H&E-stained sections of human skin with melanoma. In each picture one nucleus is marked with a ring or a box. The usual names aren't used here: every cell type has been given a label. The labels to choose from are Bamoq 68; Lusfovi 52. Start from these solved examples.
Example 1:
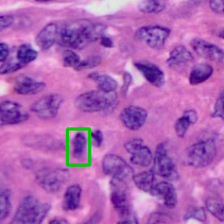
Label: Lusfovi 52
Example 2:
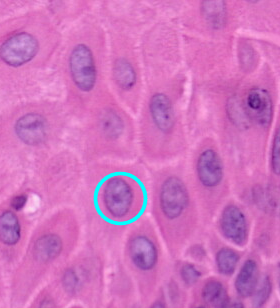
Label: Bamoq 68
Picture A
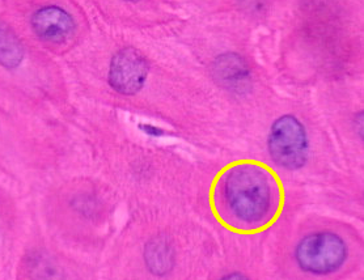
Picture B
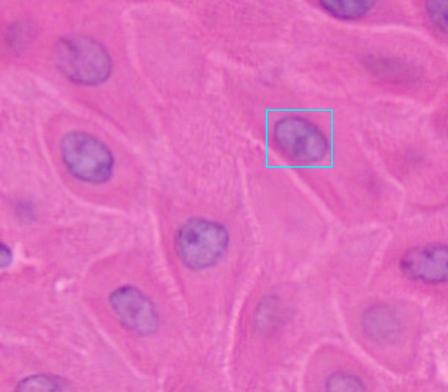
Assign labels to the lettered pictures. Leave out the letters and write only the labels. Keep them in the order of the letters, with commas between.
Bamoq 68, Bamoq 68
